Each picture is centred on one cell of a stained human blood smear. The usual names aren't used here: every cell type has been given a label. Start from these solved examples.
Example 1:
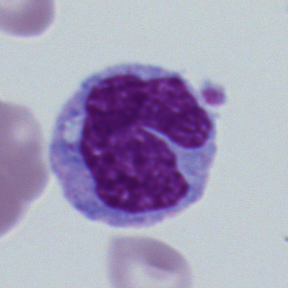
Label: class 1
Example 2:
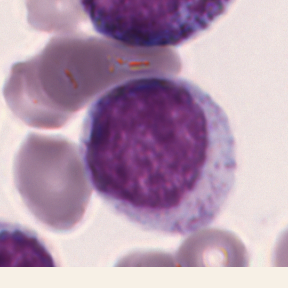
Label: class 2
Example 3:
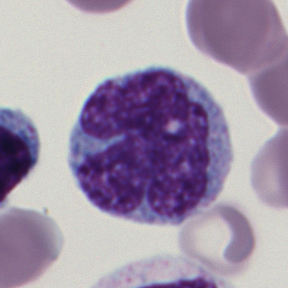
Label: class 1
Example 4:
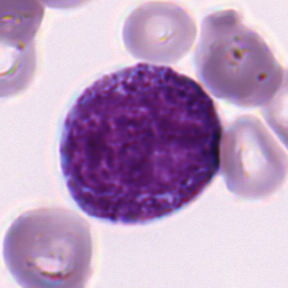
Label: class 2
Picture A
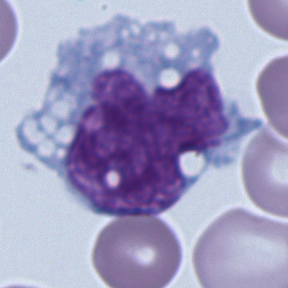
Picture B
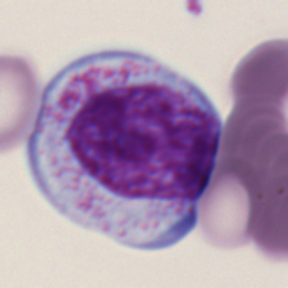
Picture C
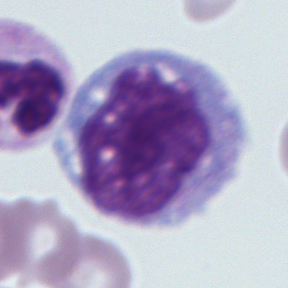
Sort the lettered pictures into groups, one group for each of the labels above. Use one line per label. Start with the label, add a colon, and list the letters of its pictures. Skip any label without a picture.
class 1: A, C
class 2: B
